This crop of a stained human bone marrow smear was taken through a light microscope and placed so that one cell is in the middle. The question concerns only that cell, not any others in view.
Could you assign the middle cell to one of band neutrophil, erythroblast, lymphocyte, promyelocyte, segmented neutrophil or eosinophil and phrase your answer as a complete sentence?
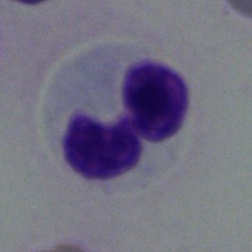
Of the cells in this crop, the central one is a segmented neutrophil.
